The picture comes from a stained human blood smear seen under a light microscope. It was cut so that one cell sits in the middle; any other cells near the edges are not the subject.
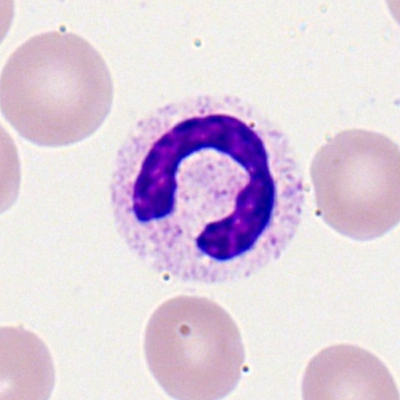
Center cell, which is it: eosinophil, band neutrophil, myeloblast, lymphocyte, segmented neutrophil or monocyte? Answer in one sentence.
Whatever else lies nearby, the middle cell is a band neutrophil.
